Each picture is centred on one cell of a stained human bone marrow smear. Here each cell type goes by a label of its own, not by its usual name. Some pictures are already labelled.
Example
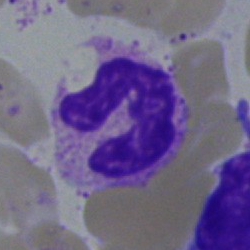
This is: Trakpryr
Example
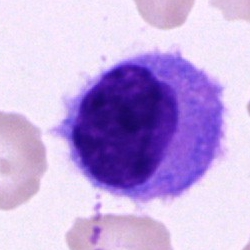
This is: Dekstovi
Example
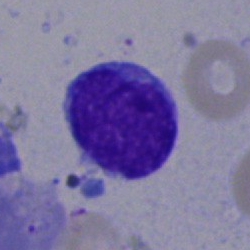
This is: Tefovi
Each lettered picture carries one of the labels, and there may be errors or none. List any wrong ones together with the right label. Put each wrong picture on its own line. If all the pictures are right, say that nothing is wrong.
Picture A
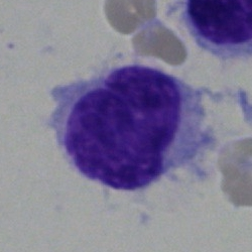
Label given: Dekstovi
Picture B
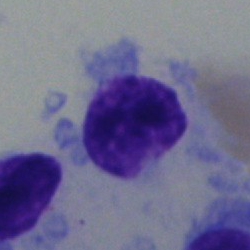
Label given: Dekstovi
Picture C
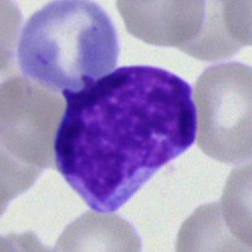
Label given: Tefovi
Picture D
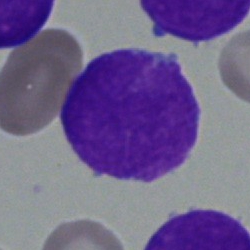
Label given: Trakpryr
D is labelled Trakpryr; correct label: Tefovi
